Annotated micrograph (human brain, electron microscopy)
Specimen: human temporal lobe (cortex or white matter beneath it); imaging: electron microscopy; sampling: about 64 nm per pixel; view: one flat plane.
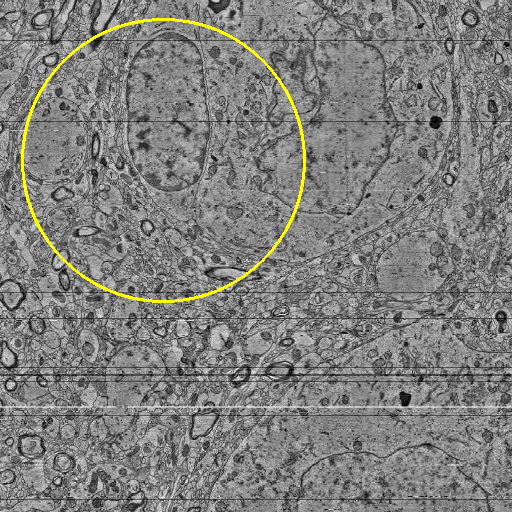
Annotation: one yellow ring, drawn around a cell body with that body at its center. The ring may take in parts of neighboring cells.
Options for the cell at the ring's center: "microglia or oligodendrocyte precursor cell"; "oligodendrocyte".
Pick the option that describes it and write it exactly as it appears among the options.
microglia or oligodendrocyte precursor cell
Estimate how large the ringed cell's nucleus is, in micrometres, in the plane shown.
The nucleus comes to approximately 10 by 6 micrometres and is clearly longer than it is wide in this plane.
